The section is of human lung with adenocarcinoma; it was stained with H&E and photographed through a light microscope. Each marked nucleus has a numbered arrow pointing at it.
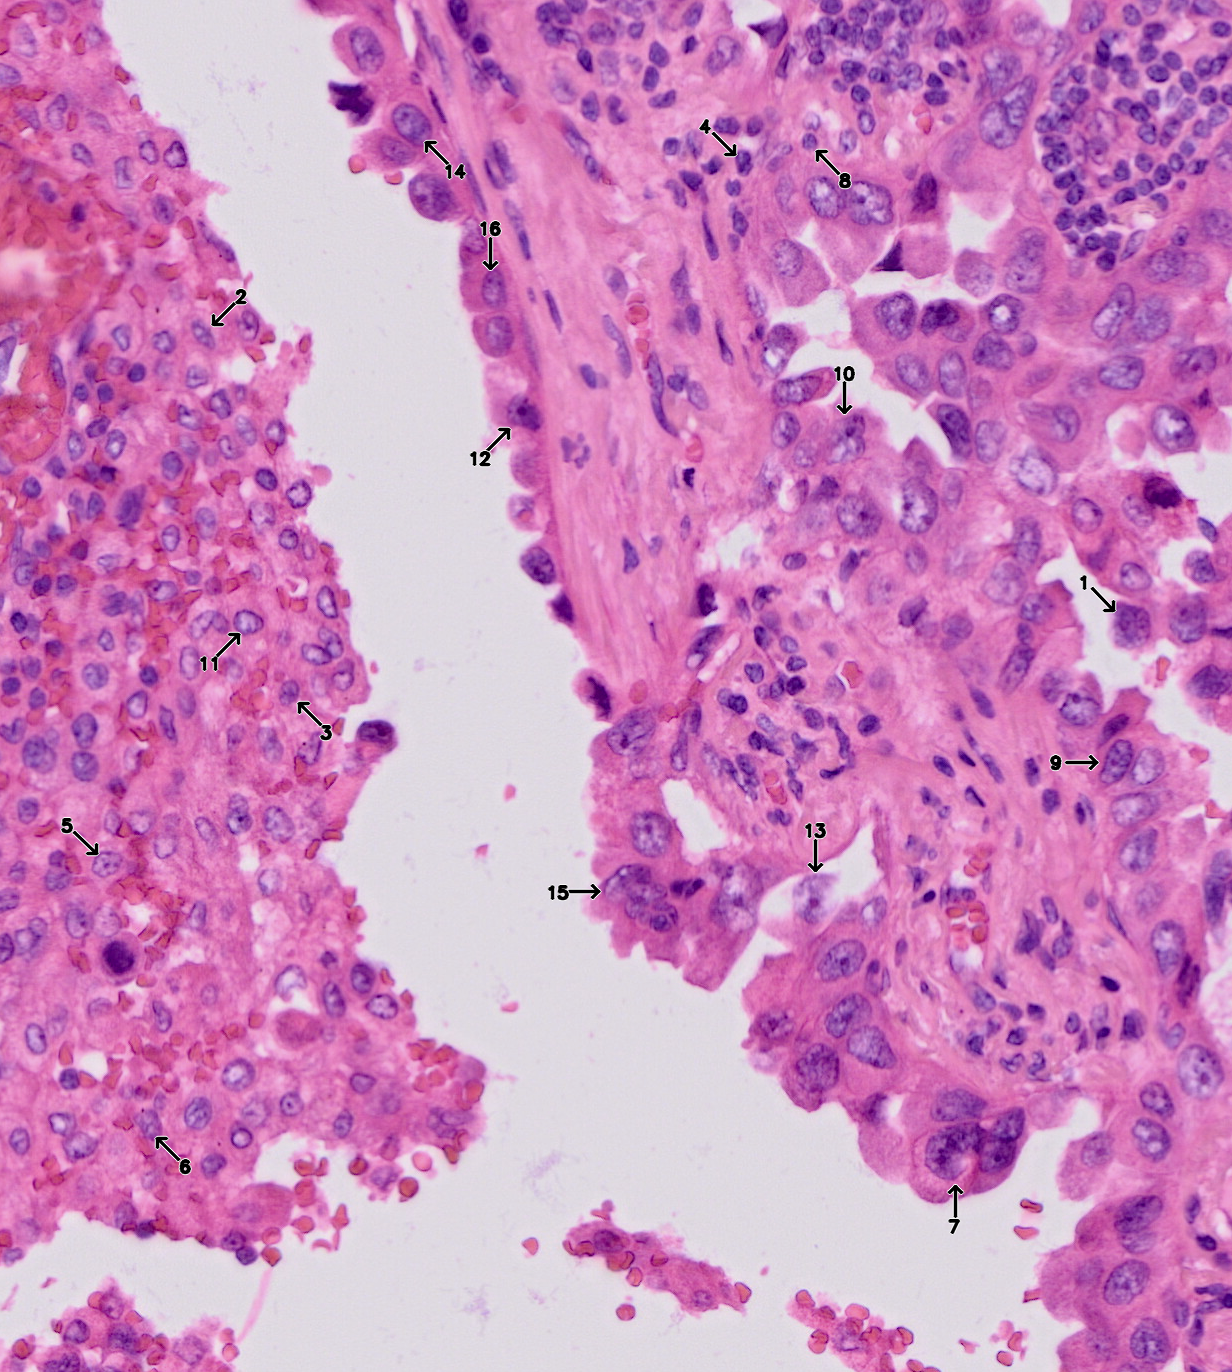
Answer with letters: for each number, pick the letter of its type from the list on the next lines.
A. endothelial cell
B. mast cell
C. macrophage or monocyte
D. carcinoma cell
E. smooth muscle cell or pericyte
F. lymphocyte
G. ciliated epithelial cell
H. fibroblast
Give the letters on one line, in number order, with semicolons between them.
D; C; C; F; C; C; D; F; D; D; C; D; D; D; D; D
